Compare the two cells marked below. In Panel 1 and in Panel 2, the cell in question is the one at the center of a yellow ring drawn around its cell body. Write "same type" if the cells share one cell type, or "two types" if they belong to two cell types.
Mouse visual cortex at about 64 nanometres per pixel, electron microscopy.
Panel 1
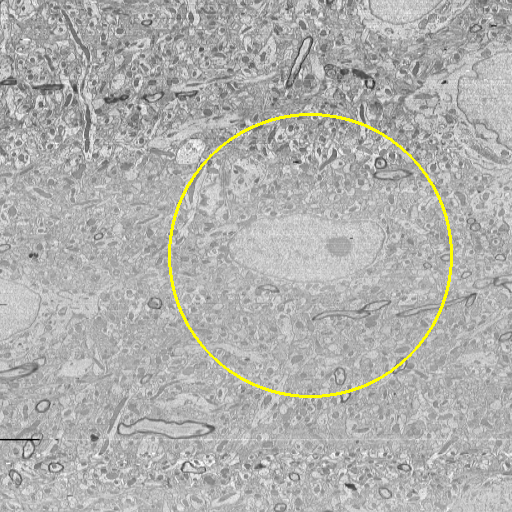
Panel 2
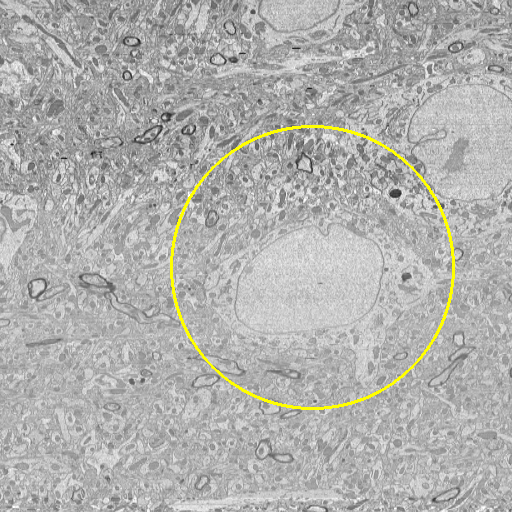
two types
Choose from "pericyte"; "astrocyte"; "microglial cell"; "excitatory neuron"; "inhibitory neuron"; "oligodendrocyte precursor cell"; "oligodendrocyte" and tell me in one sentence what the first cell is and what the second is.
What the first ring is centred on is an astrocyte; what the second ring is centred on is an excitatory neuron.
